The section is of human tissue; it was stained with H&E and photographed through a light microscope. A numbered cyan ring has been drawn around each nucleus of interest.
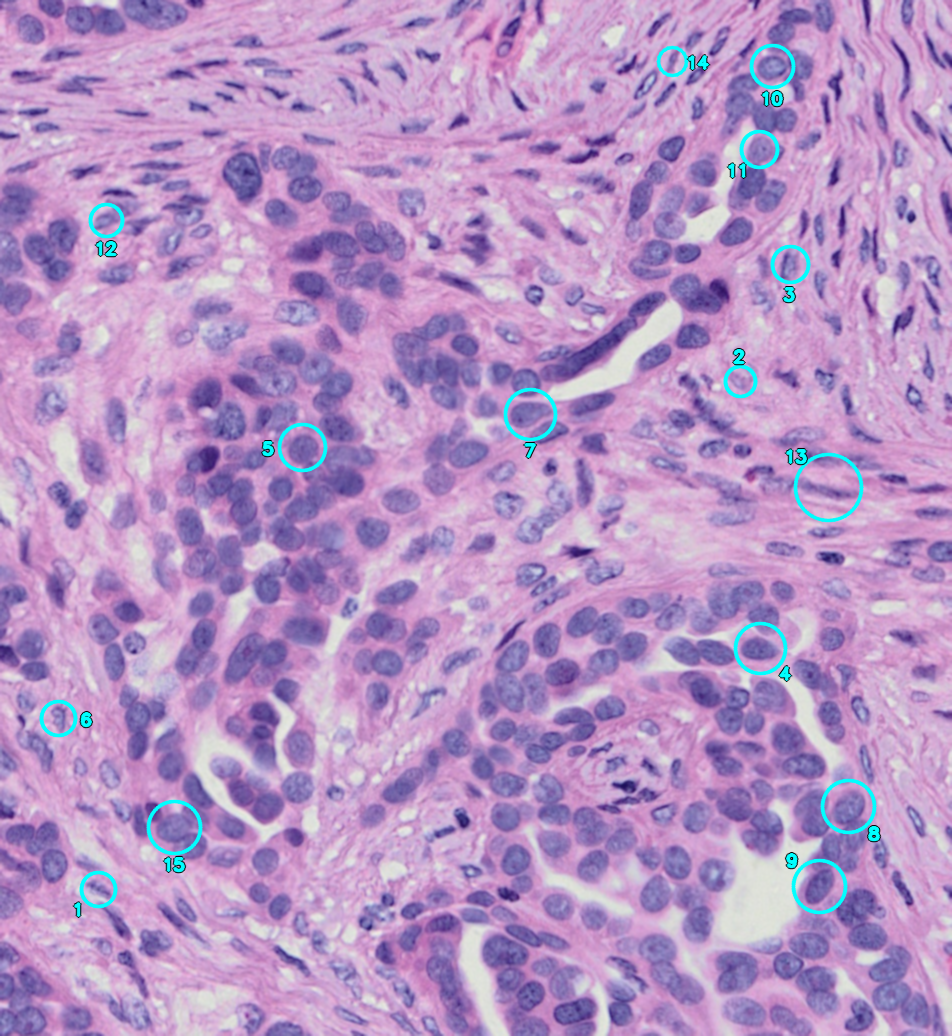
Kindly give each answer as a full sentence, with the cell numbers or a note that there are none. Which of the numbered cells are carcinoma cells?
When it comes to cells 4, 5, 7, 8, 9, 10, 11 and 15, they are carcinoma cells.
